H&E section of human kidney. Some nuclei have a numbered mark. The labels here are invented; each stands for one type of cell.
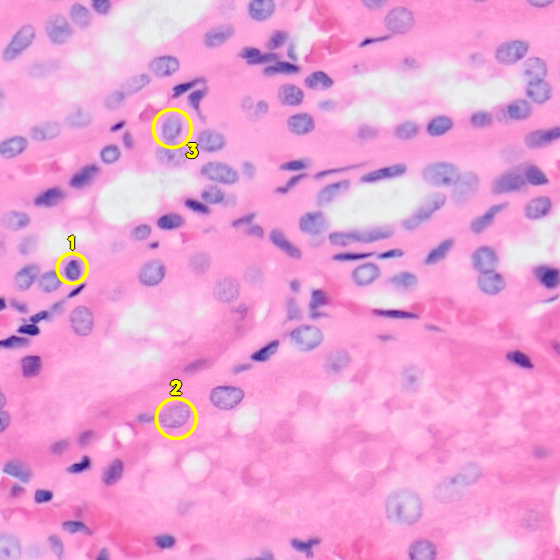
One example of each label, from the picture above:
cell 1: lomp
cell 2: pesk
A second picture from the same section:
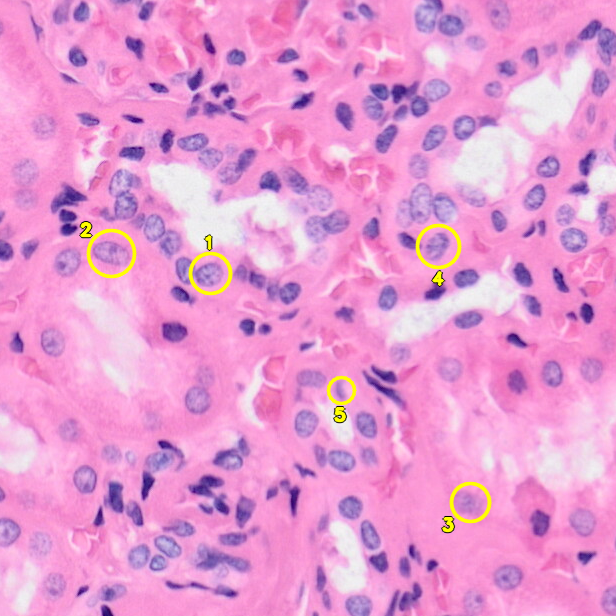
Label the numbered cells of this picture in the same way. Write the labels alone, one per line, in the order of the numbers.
lomp
pesk
pesk
lomp
lomp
